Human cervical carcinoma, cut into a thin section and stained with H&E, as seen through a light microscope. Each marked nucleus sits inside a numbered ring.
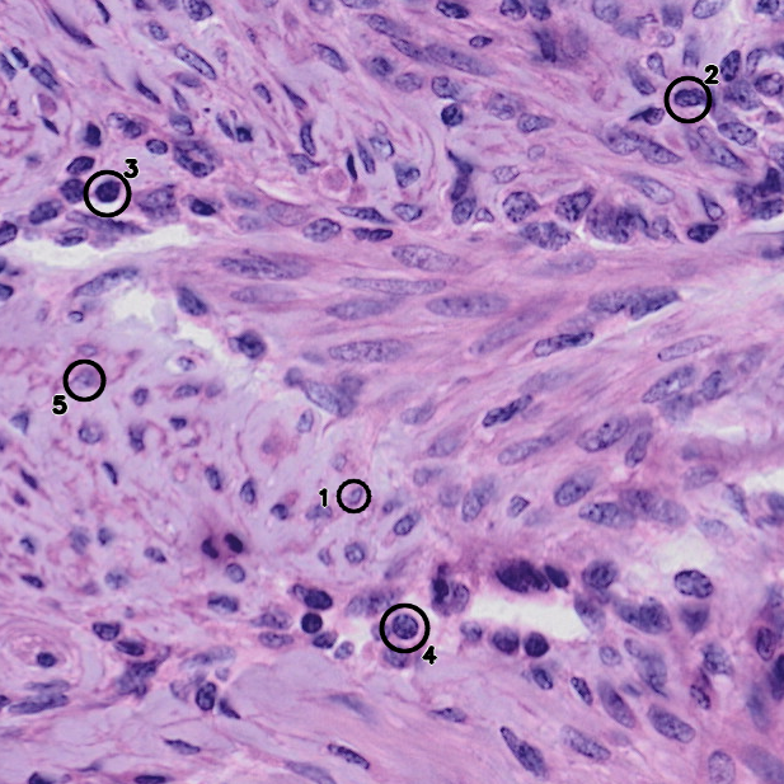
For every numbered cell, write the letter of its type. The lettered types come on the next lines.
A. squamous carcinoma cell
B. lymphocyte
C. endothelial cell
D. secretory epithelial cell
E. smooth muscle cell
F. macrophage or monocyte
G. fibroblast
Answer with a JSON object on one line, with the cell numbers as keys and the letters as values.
{"1": "E", "2": "B", "3": "B", "4": "B", "5": "E"}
